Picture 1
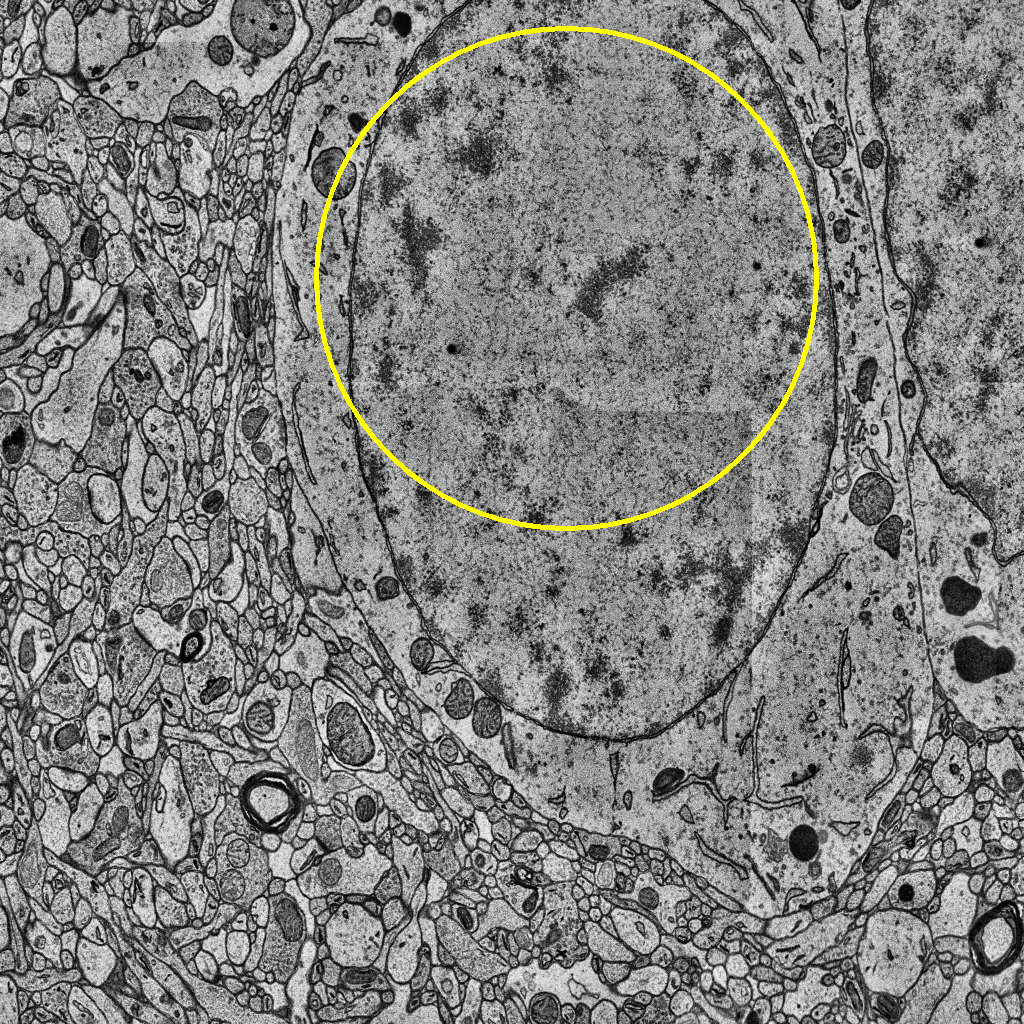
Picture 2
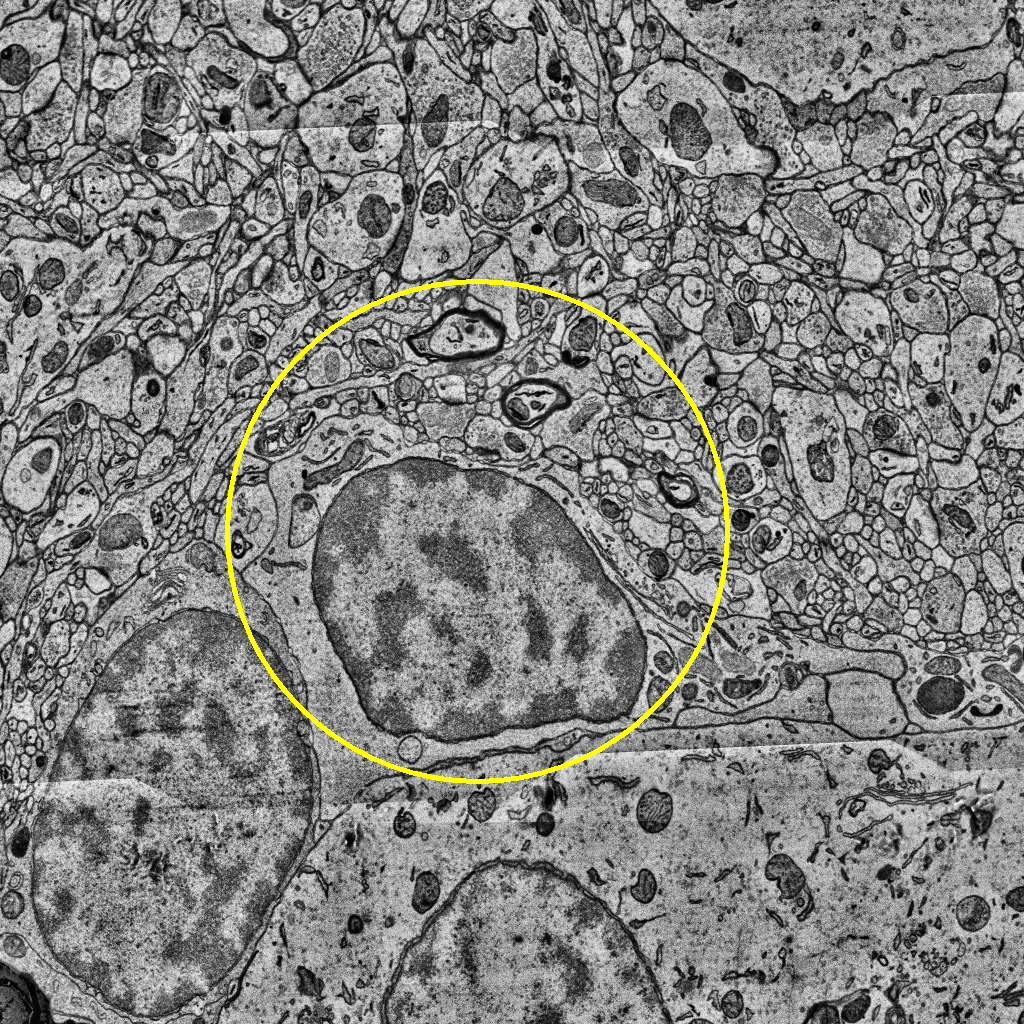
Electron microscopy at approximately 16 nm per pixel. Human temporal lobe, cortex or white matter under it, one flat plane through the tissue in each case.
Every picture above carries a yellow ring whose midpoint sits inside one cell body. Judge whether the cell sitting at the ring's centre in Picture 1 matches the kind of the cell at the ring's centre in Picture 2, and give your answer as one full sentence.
No, the cells at the centres of the rings in Pictures 1 and 2 belong to two kinds.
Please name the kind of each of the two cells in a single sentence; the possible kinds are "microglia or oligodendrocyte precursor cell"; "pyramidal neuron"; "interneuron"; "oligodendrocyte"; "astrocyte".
The first ring encloses a pyramidal neuron; the second ring encloses a microglial cell or oligodendrocyte precursor cell.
